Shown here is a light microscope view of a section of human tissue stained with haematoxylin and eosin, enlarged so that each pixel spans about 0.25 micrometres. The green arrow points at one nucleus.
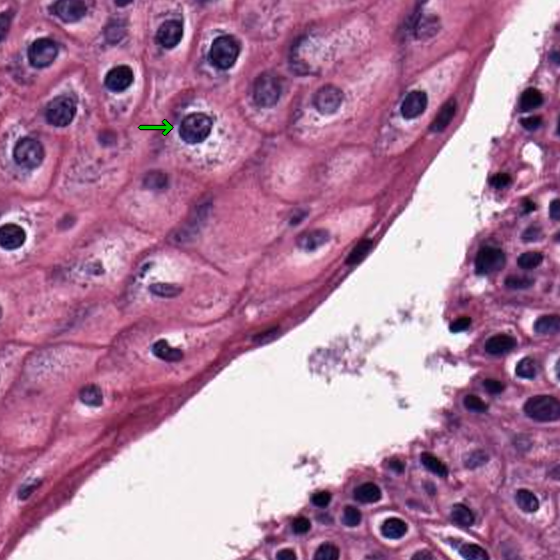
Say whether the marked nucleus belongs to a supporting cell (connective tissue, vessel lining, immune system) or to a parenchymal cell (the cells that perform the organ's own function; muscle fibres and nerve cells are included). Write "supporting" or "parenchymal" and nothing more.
parenchymal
